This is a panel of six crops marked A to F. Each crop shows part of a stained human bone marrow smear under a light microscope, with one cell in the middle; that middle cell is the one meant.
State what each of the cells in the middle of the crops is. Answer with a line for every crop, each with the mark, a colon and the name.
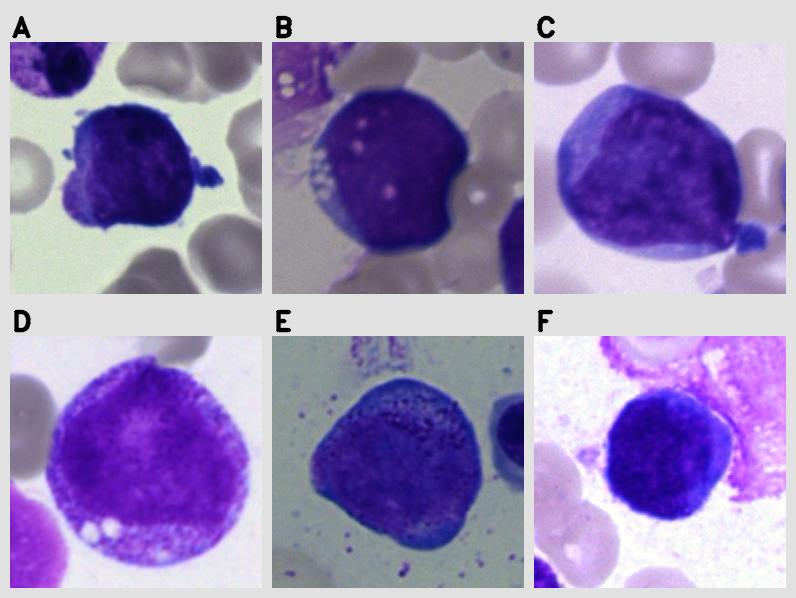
A: blast
B: blast
C: blast
D: promyelocyte
E: promyelocyte
F: blast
